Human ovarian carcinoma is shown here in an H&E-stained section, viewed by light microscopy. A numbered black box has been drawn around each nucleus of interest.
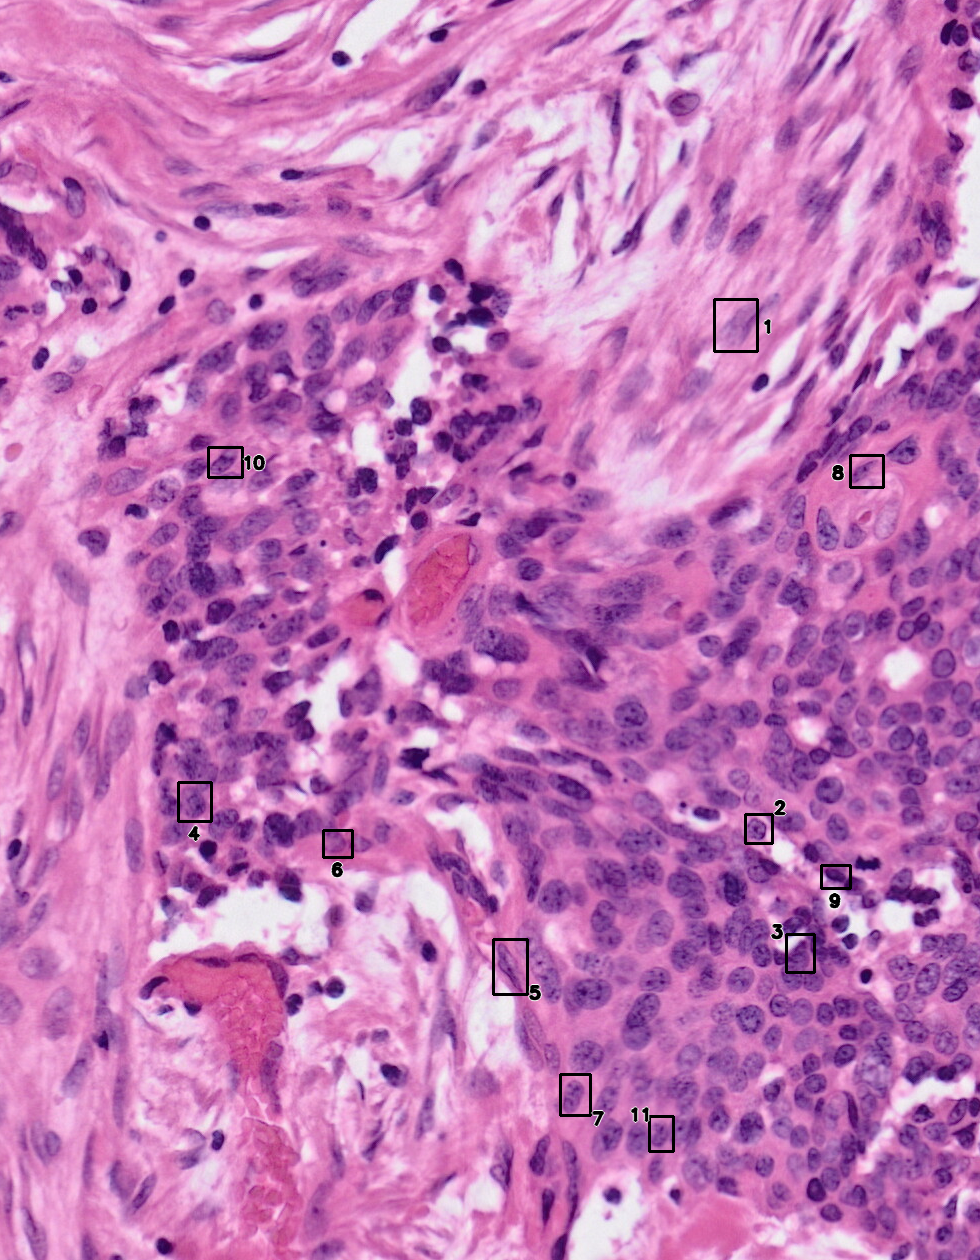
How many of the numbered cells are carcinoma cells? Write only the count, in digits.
4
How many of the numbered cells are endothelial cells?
3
